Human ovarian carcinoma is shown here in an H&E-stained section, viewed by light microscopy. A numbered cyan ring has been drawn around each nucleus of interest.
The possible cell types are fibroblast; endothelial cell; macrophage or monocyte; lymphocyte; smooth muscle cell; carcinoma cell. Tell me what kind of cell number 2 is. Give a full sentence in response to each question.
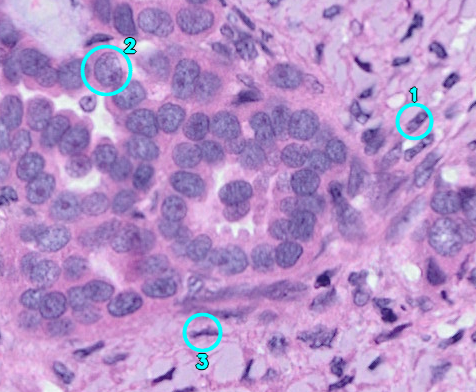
The label 2 in this section denotes a carcinoma cell.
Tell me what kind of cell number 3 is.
Heads up, the cell numbered 3 is a fibroblast.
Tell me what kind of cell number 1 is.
Cell 1 should be recorded as a fibroblast.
